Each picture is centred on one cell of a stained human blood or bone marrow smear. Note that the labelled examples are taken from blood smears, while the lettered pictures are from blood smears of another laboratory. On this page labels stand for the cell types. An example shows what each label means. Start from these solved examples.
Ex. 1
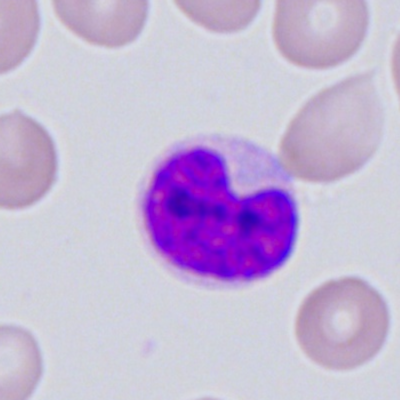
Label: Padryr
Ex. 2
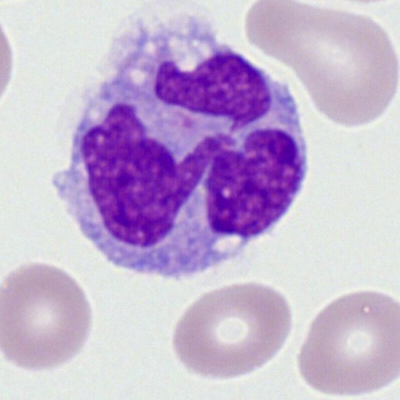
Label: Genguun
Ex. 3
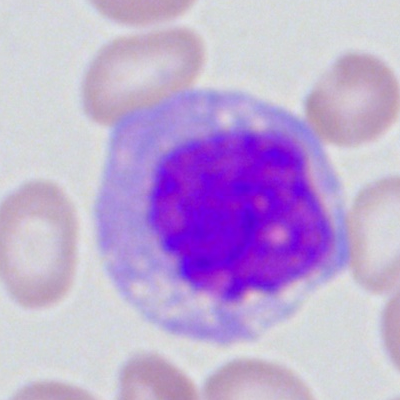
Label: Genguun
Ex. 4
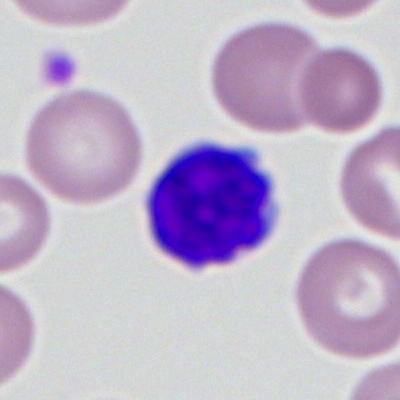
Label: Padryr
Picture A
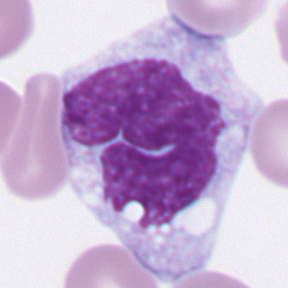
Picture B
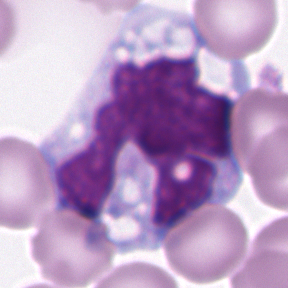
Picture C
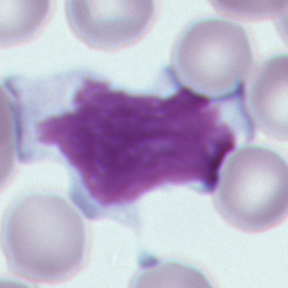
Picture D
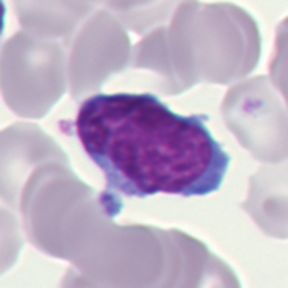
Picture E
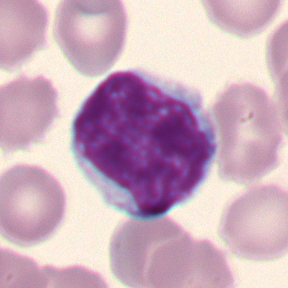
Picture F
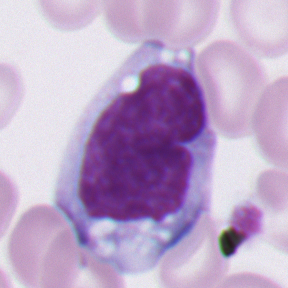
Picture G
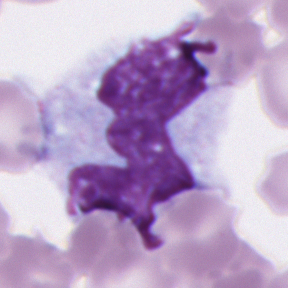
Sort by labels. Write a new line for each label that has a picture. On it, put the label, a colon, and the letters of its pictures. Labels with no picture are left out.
Padryr: C, D, E
Genguun: A, B, F, G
